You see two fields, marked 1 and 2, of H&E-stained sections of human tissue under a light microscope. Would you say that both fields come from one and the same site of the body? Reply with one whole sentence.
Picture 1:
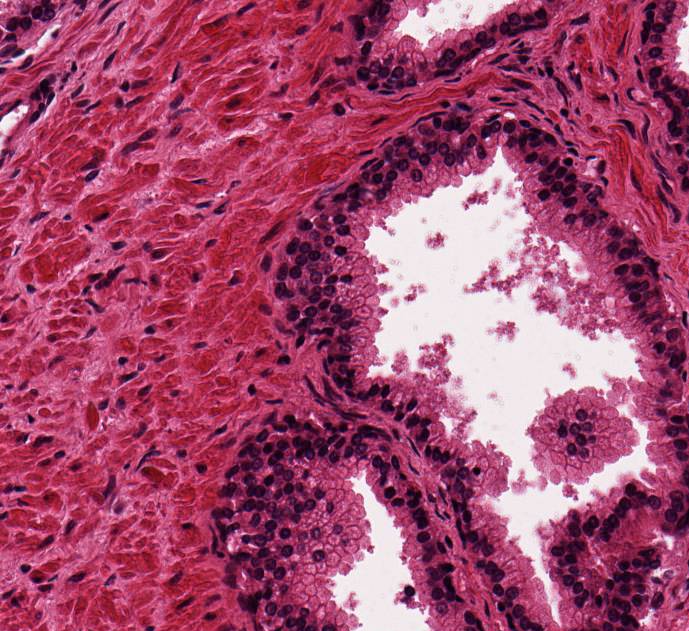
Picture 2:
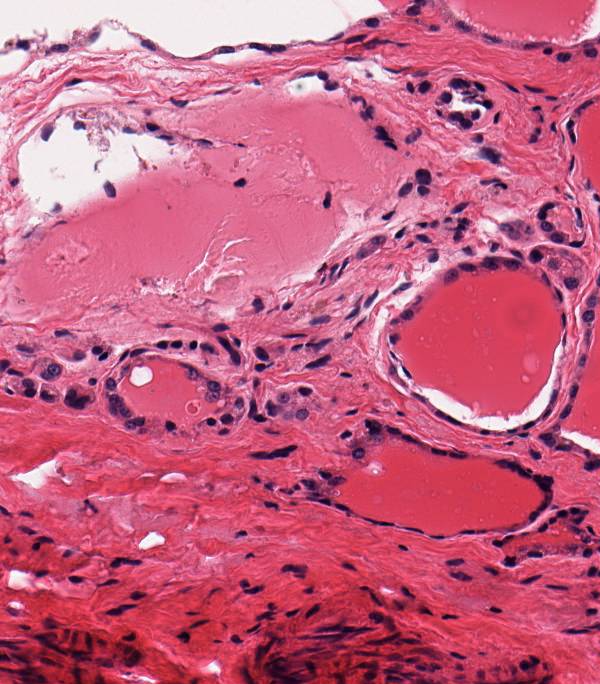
No, picture 1 comes from the prostate and picture 2 comes from the thyroid.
